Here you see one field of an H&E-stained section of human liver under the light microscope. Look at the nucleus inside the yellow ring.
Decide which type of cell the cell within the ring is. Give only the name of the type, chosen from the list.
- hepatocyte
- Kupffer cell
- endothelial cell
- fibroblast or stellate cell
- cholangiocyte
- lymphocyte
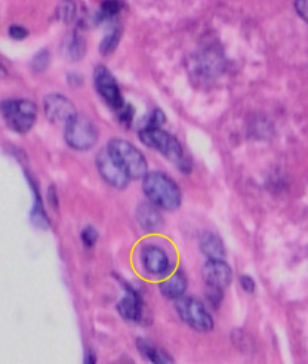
cholangiocyte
